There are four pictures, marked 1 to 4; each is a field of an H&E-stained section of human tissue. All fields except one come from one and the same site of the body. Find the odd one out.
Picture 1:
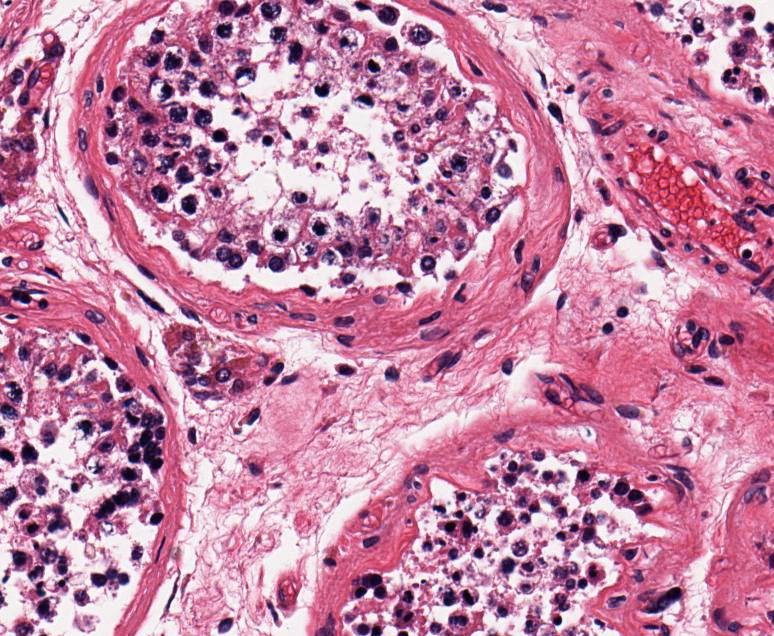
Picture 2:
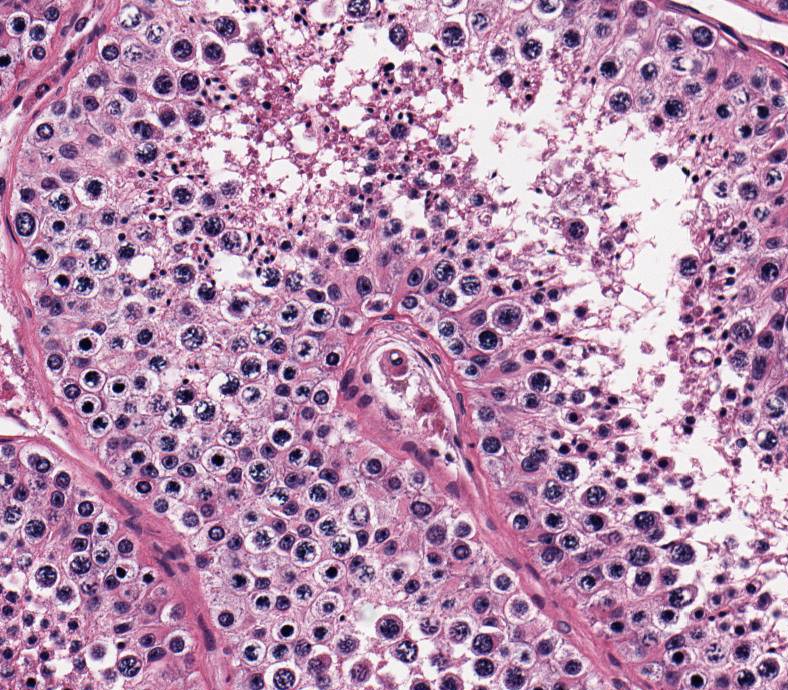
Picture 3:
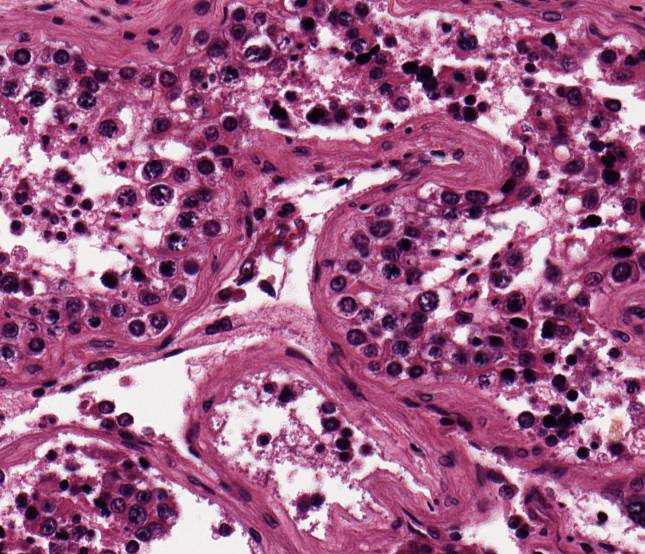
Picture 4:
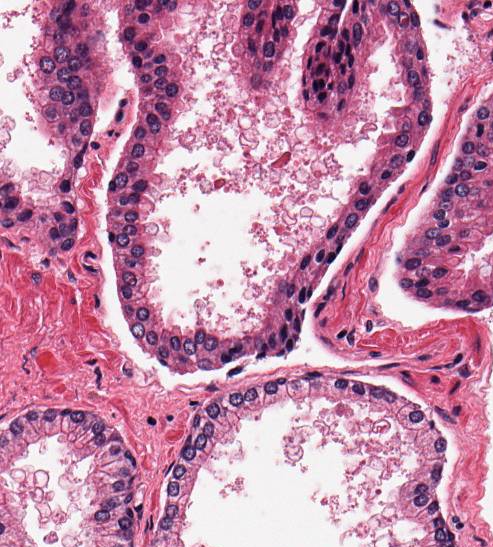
4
